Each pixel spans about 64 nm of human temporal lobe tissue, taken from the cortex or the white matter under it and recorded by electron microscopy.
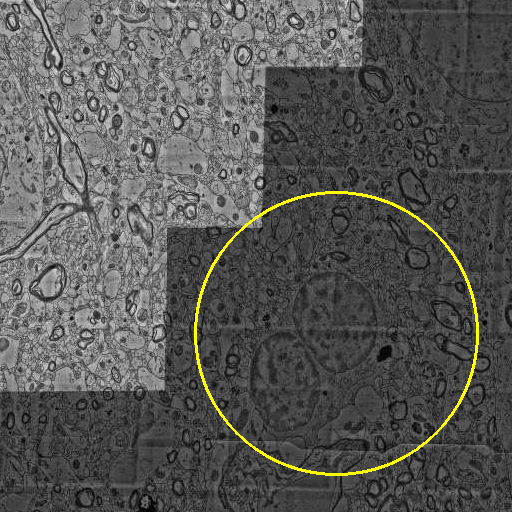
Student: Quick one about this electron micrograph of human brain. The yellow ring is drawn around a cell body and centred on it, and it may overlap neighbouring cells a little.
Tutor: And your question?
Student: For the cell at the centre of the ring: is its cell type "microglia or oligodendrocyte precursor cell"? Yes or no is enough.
no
